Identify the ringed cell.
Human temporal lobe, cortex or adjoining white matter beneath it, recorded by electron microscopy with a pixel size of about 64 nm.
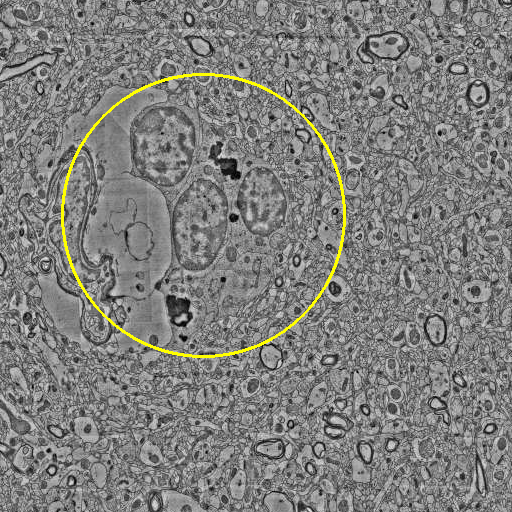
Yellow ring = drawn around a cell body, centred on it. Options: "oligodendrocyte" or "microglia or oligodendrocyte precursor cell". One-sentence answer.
What the ring is centred on is an oligodendrocyte.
